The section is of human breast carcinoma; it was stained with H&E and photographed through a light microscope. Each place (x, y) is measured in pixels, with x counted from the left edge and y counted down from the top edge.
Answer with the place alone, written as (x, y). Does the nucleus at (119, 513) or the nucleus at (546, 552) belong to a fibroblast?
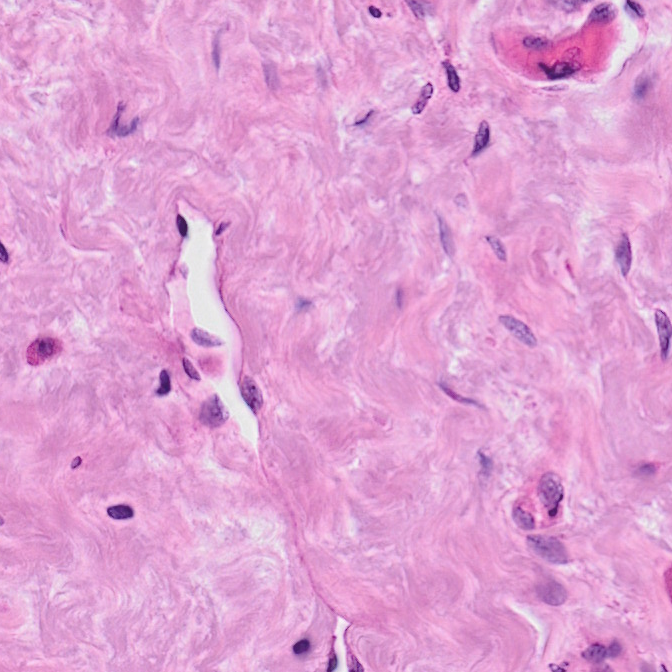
(546, 552)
